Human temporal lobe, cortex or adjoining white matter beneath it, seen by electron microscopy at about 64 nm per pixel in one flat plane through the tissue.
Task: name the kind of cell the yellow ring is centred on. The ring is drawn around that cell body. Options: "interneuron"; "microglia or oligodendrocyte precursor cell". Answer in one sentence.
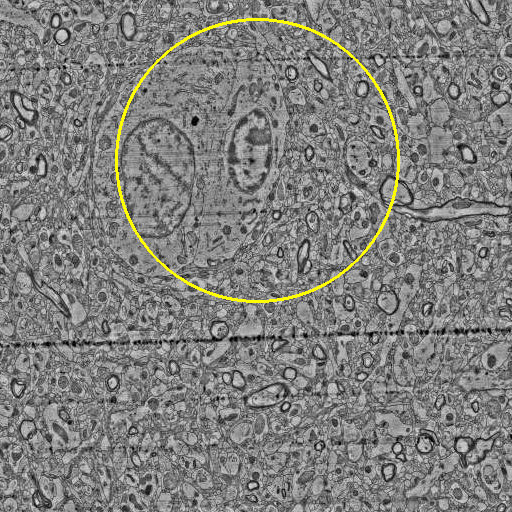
This cell body belongs to a microglial cell or oligodendrocyte precursor cell.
